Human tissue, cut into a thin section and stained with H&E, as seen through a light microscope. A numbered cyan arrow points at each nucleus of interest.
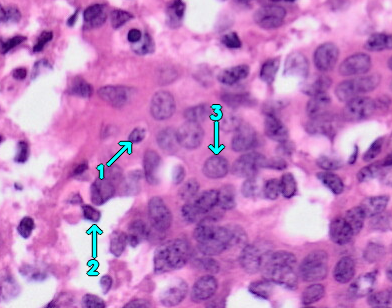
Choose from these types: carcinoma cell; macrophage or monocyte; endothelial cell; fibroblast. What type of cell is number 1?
macrophage or monocyte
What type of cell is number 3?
carcinoma cell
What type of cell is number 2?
carcinoma cell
